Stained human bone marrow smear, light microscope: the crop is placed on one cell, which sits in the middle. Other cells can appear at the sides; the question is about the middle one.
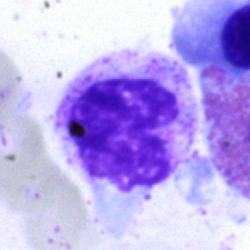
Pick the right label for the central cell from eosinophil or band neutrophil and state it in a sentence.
This crop is built around a band neutrophil at its centre.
